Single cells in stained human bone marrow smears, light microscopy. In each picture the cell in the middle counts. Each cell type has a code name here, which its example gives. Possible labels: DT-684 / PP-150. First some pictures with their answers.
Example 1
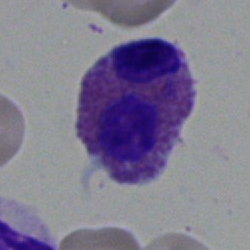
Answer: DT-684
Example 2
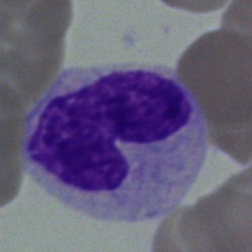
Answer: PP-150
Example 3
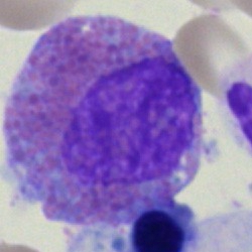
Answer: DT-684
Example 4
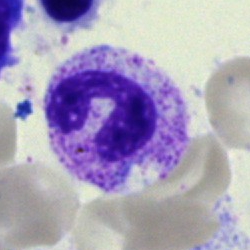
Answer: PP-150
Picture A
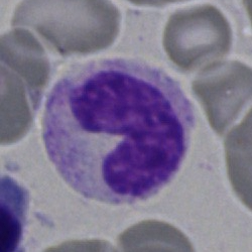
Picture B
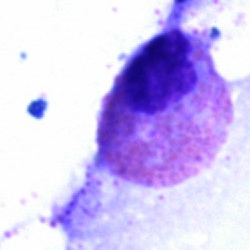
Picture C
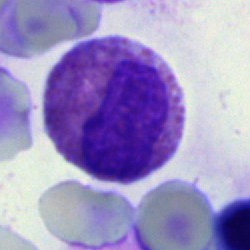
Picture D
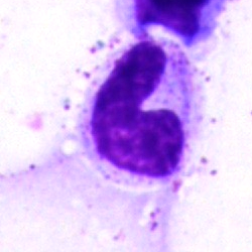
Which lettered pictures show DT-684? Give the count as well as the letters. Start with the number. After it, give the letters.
2: B, C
